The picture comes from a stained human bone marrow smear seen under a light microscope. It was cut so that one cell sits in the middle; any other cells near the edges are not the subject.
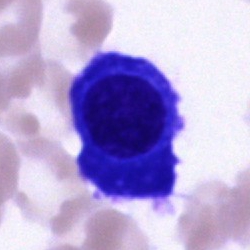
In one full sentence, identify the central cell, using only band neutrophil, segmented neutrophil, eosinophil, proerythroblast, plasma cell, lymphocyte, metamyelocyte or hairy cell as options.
At the center of the crop sits a plasma cell.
